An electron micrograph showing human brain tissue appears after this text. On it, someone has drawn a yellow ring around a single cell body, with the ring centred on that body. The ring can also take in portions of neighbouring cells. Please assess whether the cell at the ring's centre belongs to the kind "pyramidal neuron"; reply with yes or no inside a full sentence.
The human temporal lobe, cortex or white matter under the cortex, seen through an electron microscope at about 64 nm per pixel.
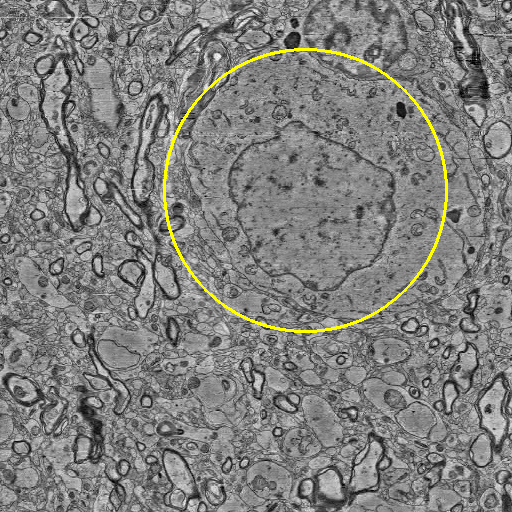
Yes, in this micrograph the cell at the centre of the ring is of that kind.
